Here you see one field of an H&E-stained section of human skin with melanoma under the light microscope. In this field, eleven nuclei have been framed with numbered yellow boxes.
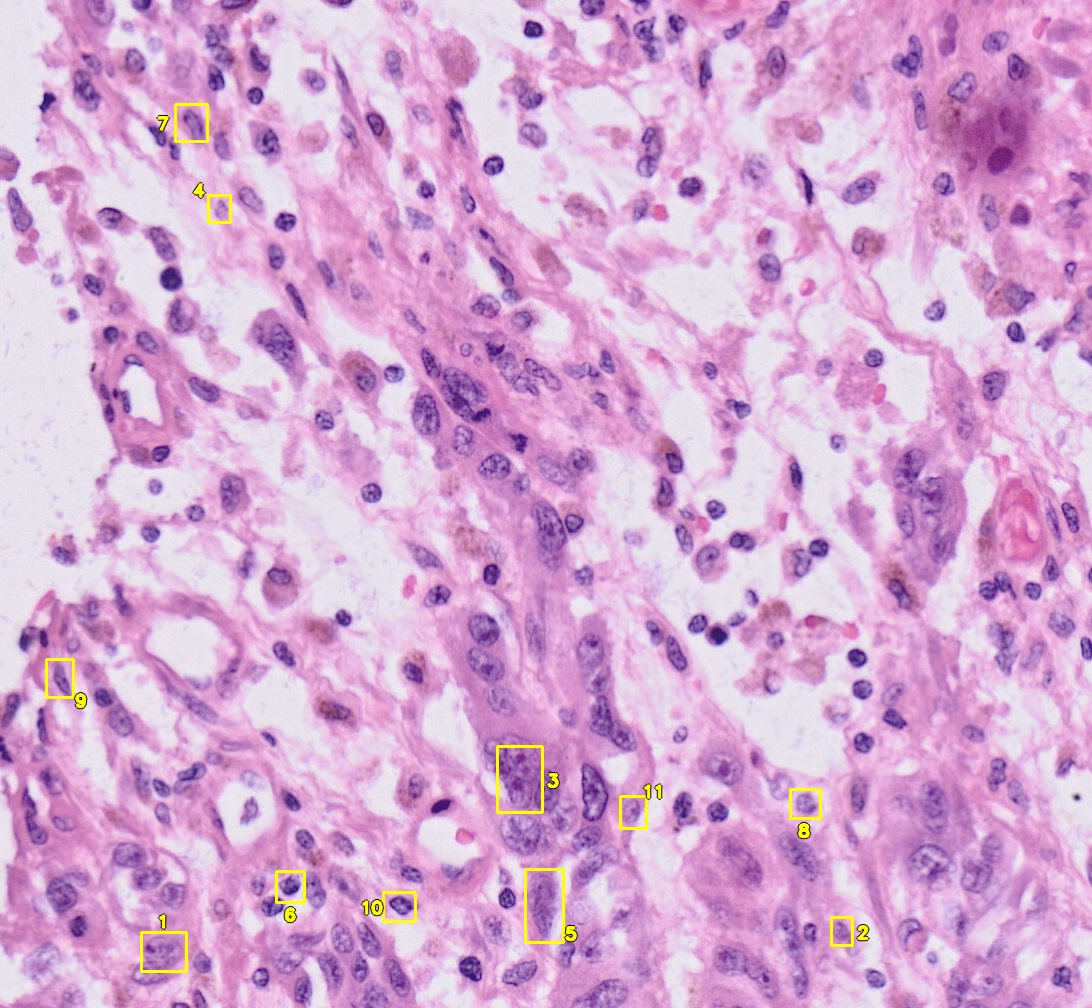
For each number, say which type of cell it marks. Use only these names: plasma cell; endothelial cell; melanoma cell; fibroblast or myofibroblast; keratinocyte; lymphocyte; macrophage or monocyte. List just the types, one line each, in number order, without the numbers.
melanoma cell
macrophage or monocyte
melanoma cell
macrophage or monocyte
melanoma cell
lymphocyte
macrophage or monocyte
macrophage or monocyte
macrophage or monocyte
lymphocyte
melanoma cell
